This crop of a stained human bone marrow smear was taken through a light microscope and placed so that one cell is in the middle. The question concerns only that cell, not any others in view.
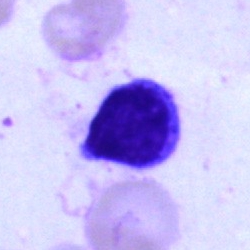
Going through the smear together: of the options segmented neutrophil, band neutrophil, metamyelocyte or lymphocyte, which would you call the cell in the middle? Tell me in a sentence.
The central cell, amid any neighbouring cells, is a lymphocyte.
